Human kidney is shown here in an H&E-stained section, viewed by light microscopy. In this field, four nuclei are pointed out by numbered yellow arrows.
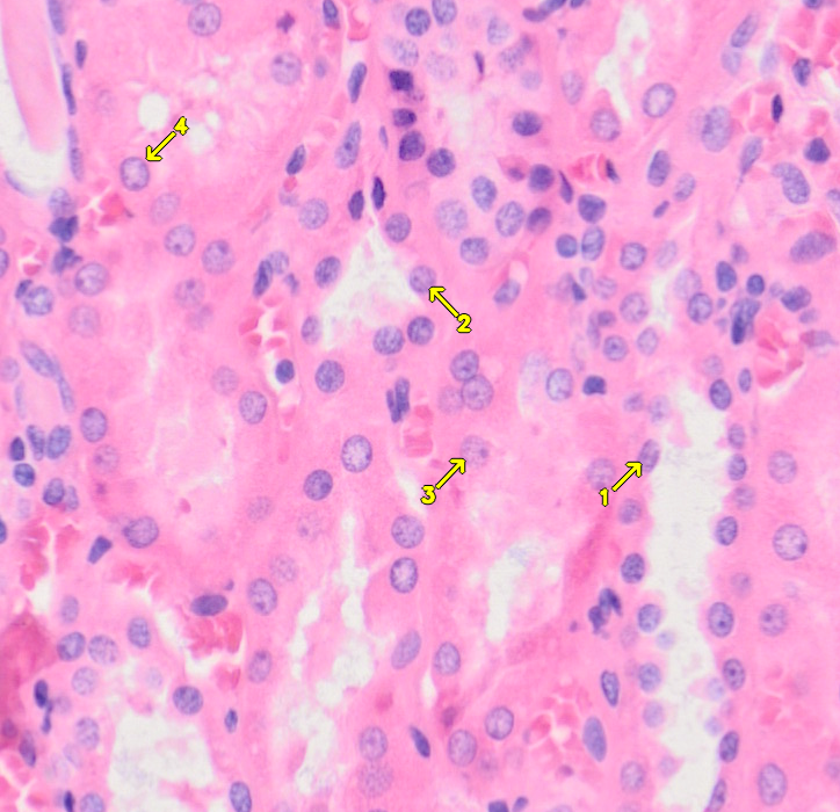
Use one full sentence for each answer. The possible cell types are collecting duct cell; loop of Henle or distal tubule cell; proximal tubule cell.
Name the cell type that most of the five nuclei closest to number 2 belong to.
Around number 2, most of the five nearest nuclei are those of loop of Henle or distal tubule cells.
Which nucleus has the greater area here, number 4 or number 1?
It is nucleus 4, which covers about 1.5 times the area of nucleus 1.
